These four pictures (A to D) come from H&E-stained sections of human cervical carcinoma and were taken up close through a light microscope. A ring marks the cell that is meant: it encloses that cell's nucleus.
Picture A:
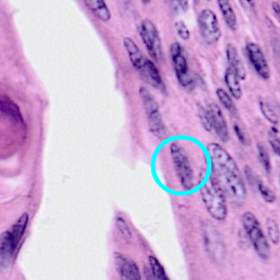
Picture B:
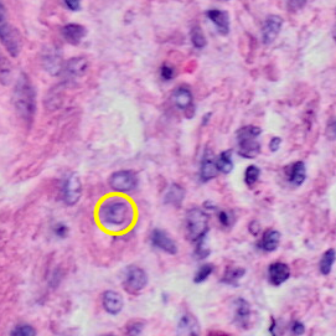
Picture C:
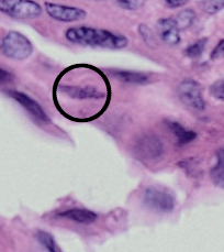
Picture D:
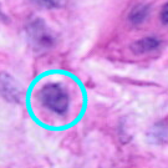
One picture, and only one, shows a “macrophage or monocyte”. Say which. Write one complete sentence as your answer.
Picture D shows the “macrophage or monocyte”.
